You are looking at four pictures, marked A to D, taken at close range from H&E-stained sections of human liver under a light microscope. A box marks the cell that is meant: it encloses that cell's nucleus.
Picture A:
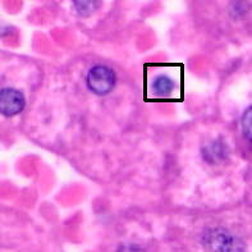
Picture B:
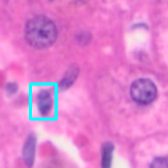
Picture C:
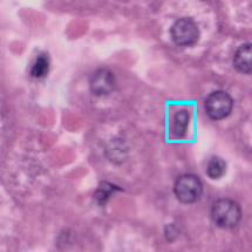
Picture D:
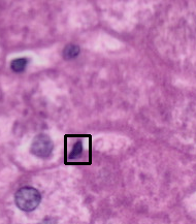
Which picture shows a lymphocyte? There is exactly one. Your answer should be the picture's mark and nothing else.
A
